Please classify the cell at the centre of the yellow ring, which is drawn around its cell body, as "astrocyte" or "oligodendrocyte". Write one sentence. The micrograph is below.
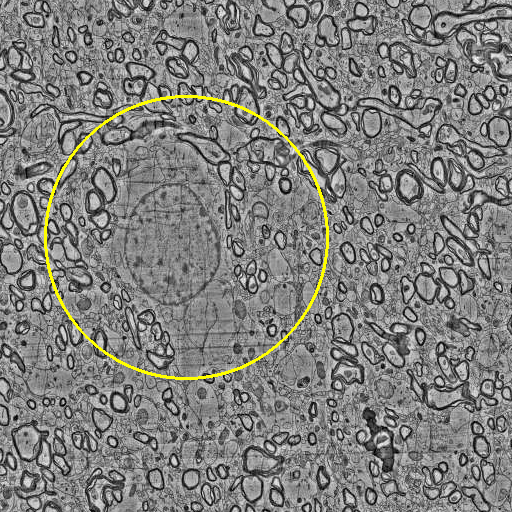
The cell at the ring's centre is classified as an astrocyte.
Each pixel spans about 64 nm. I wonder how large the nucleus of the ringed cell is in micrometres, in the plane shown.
The nucleus works out at approximately 8 by 6 micrometres in this plane.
